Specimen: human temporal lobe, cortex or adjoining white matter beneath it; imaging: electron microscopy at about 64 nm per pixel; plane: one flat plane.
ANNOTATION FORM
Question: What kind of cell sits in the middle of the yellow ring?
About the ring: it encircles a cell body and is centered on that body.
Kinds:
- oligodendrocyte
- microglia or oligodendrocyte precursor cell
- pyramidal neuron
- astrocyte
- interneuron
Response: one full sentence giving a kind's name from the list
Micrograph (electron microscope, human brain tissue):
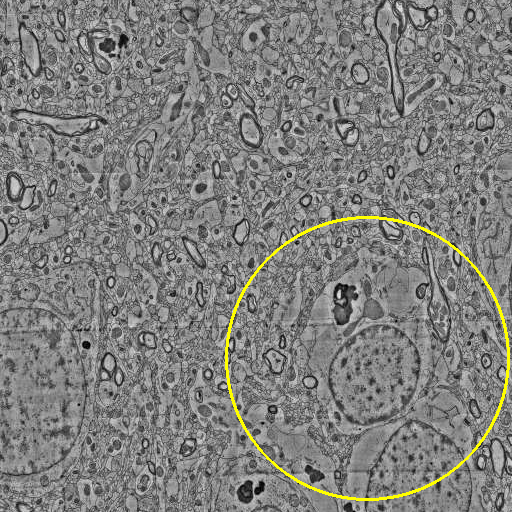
The kind of cell found at the center of the yellow ring in the micrograph is an astrocyte.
